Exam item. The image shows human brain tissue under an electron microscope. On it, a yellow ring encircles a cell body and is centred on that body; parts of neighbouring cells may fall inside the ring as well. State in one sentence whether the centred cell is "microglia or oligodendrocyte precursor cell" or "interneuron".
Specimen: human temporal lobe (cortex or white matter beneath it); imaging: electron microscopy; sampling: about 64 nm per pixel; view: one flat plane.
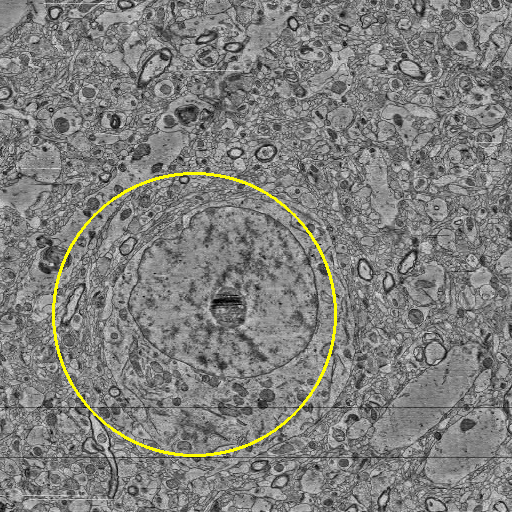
The cell body centred in the ring is an interneuron.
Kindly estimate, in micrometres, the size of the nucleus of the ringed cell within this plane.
In this plane, roughly 12 micrometres across.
